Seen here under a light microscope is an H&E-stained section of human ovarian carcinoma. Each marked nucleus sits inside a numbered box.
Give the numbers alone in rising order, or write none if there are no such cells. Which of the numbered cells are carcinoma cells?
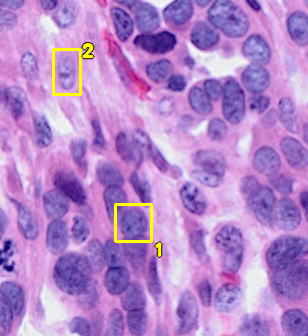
1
